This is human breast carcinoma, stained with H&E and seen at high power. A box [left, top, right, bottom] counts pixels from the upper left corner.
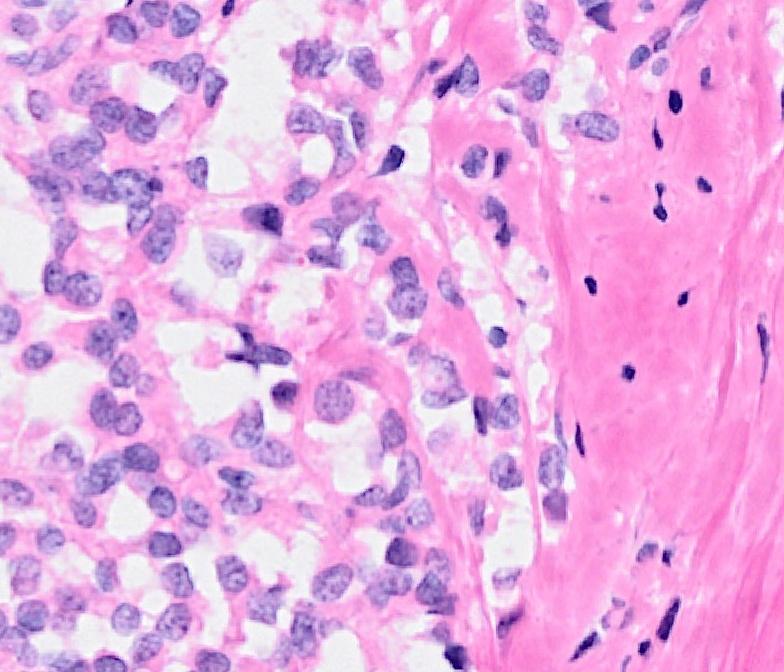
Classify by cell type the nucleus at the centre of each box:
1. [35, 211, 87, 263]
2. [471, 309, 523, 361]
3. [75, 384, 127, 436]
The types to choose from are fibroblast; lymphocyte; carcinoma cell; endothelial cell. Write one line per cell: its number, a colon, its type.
1: carcinoma cell
2: lymphocyte
3: carcinoma cell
